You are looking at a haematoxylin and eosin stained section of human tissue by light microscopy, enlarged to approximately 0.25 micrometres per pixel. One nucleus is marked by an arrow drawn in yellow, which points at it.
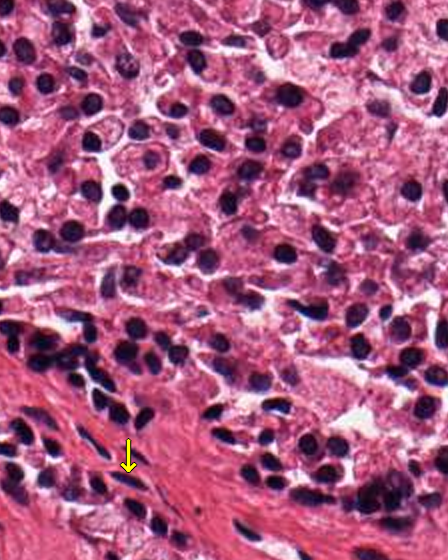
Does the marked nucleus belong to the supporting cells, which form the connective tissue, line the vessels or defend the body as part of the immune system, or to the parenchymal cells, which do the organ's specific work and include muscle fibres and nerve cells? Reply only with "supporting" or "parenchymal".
supporting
